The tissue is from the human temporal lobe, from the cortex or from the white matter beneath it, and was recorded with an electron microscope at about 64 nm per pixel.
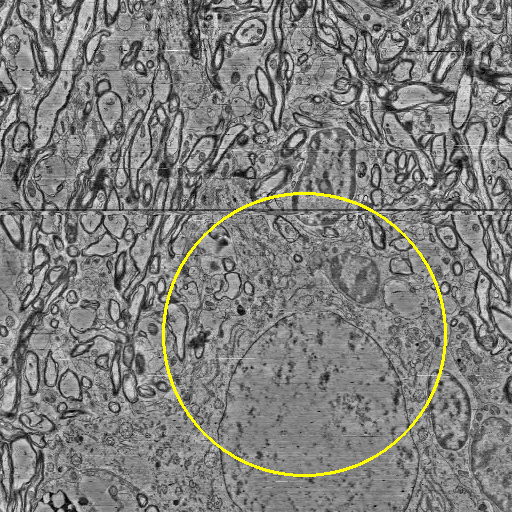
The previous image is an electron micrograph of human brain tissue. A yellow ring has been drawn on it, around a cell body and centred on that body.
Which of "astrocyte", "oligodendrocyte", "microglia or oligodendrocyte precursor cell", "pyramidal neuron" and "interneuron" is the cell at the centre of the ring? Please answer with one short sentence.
The cell body at the centre of the ring belongs to a pyramidal neuron.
